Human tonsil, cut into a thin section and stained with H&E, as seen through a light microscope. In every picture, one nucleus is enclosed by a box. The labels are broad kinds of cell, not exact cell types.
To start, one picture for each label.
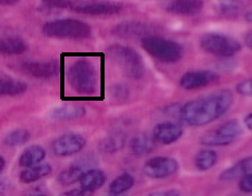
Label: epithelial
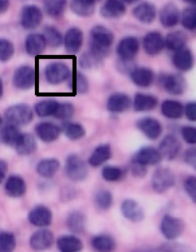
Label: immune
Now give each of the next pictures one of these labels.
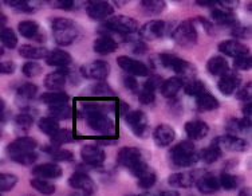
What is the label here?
immune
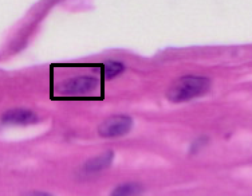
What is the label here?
epithelial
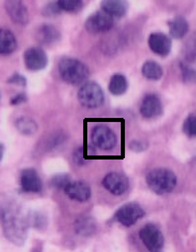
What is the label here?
immune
